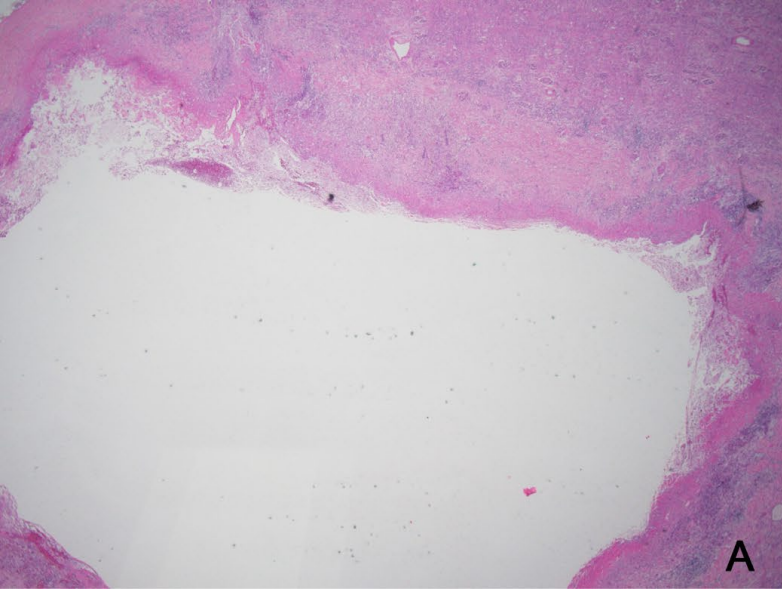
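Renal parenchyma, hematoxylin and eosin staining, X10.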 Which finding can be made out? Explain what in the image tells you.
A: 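Inflammatory cystic lesion. A large empty, rounded space occupies most of the field. The space is bounded by a thick pink wall without a lining epithelium. Purple clusters of small cells are scattered through the wall.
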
